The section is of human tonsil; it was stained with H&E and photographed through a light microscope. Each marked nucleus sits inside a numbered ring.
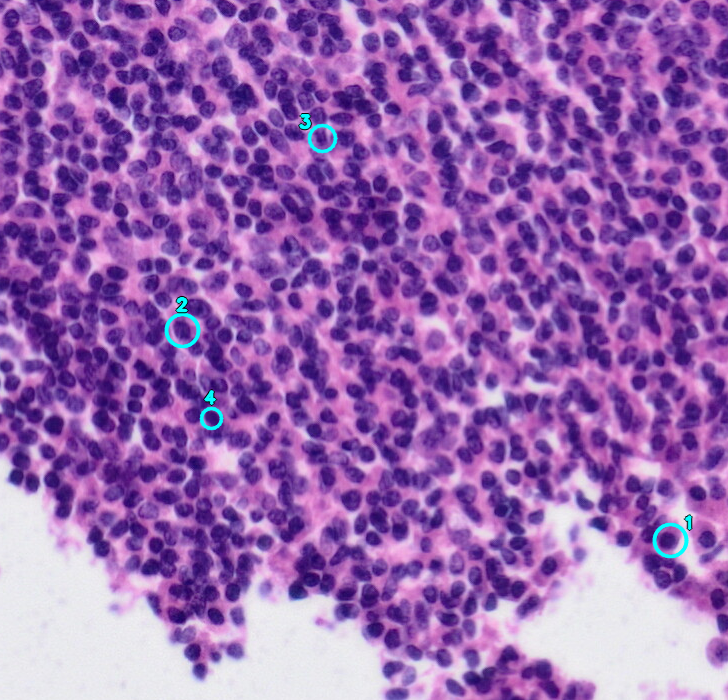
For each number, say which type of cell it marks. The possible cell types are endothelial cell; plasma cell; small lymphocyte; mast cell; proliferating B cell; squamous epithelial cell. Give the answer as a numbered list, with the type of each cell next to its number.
1. plasma cell
2. small lymphocyte
3. small lymphocyte
4. small lymphocyte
